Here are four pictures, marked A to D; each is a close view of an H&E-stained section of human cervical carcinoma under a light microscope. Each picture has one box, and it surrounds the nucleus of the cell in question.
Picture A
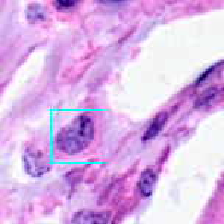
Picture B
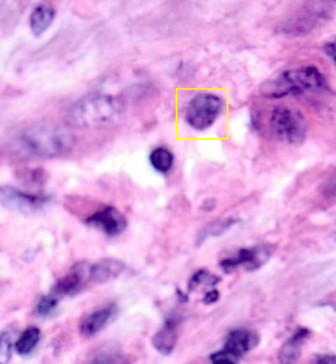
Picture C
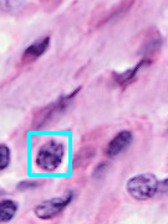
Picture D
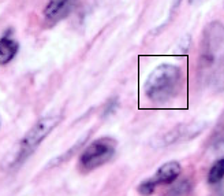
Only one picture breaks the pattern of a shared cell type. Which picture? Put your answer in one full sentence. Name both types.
The different one is picture C; it shows a lymphocyte, whereas all the others show “macrophages or monocytes”.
